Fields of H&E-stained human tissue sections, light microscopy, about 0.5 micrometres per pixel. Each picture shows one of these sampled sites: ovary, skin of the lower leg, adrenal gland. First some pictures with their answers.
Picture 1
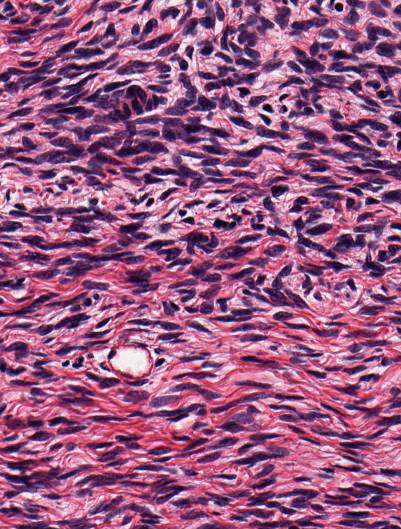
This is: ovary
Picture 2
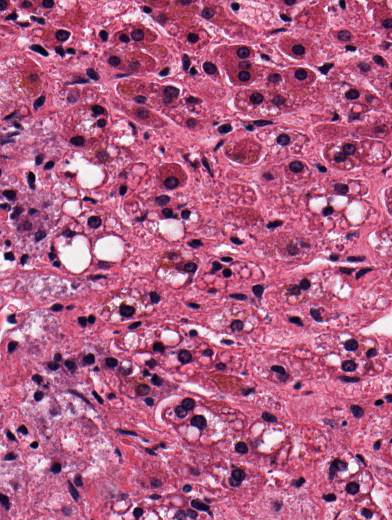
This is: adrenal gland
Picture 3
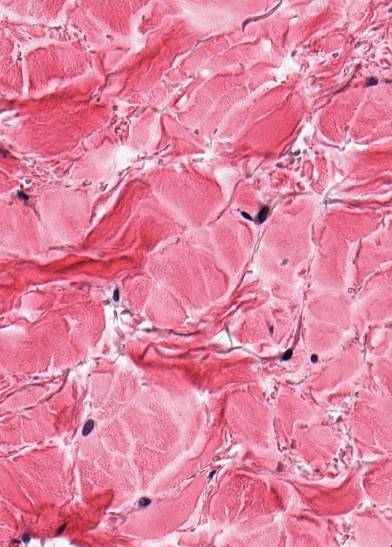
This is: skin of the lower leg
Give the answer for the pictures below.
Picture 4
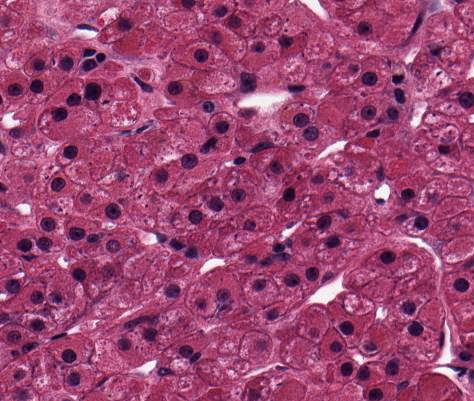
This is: adrenal gland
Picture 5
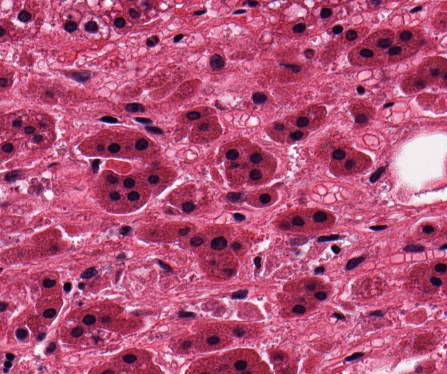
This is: adrenal gland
